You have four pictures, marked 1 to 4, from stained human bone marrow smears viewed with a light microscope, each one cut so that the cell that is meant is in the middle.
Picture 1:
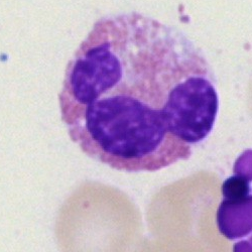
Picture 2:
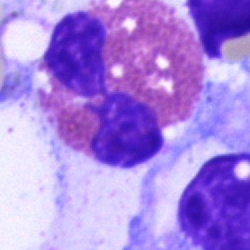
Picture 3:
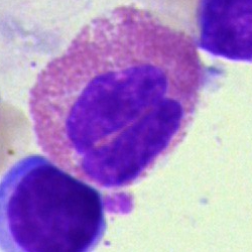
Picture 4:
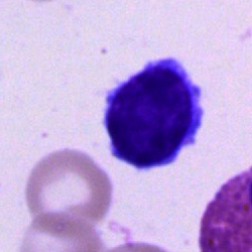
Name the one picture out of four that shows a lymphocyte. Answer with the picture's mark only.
4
